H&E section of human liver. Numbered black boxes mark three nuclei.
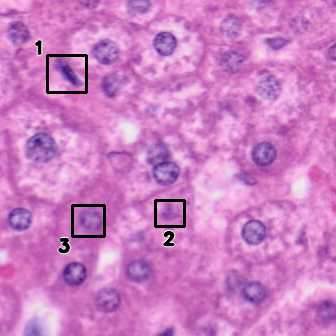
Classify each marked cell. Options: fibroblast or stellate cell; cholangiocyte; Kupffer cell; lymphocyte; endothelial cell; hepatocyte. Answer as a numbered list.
1. endothelial cell
2. hepatocyte
3. hepatocyte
